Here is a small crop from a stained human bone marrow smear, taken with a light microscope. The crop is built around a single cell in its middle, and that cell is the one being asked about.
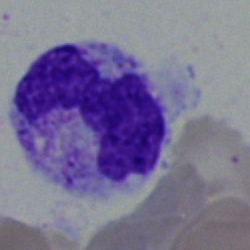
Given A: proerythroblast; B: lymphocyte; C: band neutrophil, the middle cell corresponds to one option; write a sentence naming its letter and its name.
The cell in the middle is correctly identified as a band neutrophil in option C.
